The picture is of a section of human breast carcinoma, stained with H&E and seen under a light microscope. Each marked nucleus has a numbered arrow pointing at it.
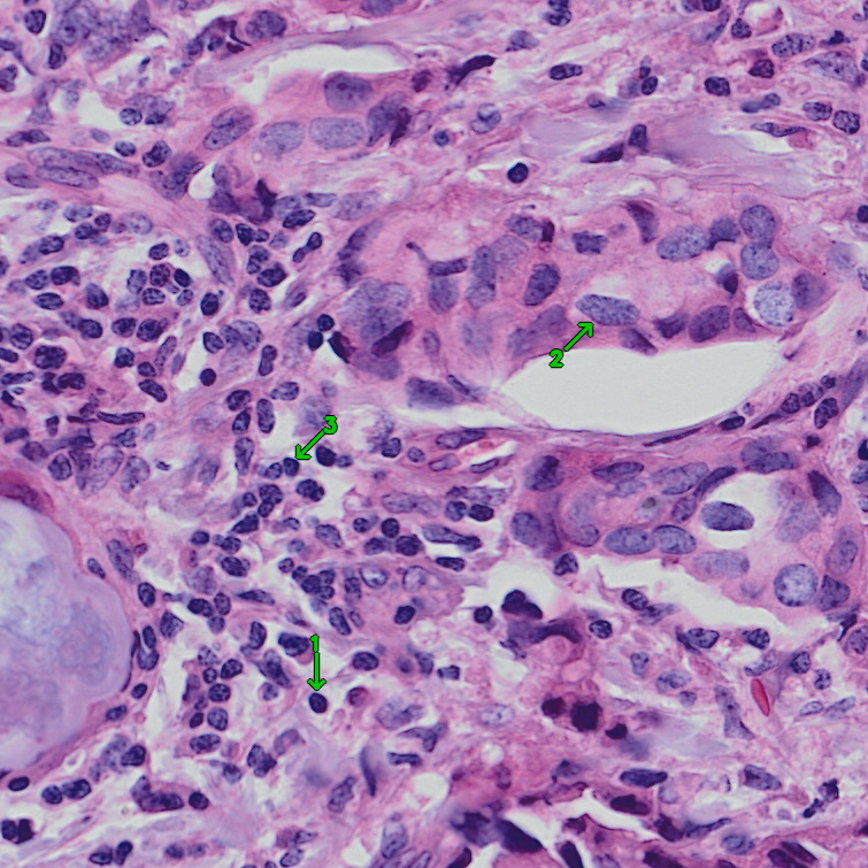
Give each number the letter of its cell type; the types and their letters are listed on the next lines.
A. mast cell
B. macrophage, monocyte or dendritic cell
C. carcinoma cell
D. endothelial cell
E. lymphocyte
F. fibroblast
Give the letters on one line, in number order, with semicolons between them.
E; C; E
